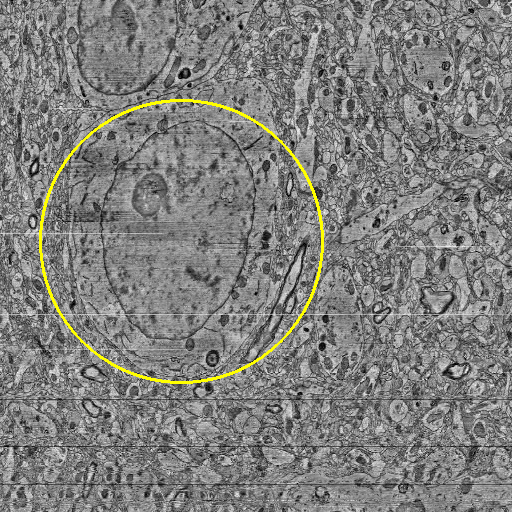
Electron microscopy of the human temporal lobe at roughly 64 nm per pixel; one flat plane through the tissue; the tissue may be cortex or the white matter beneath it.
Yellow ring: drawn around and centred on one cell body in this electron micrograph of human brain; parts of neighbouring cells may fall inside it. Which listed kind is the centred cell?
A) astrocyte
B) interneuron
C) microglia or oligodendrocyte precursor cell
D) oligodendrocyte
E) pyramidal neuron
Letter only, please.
E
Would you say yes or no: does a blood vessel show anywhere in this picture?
No, no blood vessel shows in the picture.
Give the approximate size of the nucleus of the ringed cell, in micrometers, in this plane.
Roughly 15 micrometres by 10 micrometres, so the nucleus is clearly longer than it is wide in this plane.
